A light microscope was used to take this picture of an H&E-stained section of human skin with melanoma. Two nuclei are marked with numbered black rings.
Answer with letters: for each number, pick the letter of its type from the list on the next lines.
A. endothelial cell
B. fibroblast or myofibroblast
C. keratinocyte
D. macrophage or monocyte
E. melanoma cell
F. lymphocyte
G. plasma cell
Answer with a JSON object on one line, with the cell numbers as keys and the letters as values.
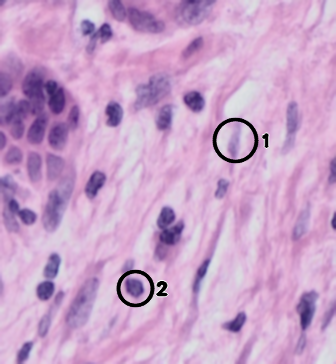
{"1": "B", "2": "F"}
